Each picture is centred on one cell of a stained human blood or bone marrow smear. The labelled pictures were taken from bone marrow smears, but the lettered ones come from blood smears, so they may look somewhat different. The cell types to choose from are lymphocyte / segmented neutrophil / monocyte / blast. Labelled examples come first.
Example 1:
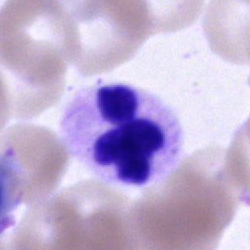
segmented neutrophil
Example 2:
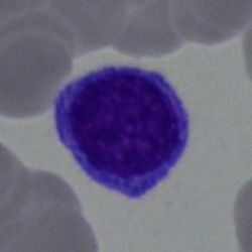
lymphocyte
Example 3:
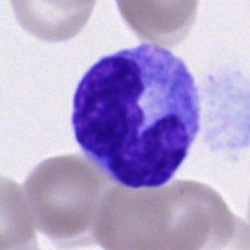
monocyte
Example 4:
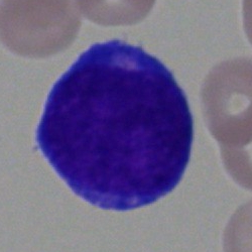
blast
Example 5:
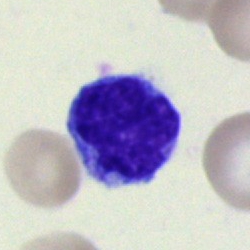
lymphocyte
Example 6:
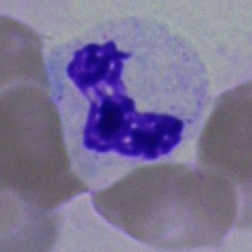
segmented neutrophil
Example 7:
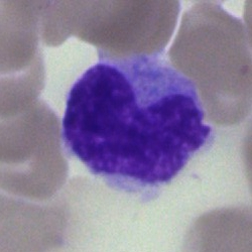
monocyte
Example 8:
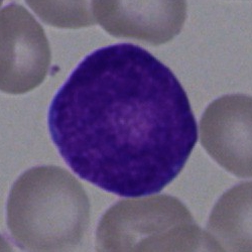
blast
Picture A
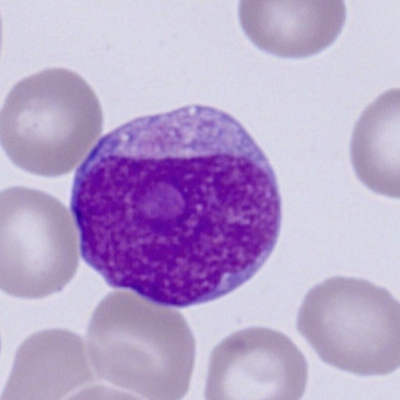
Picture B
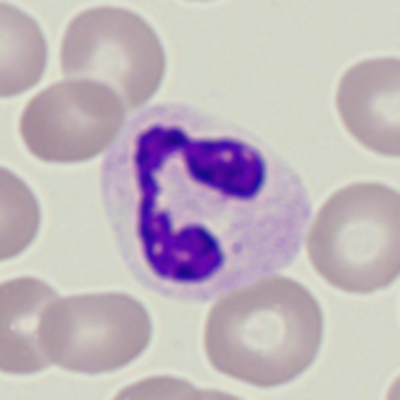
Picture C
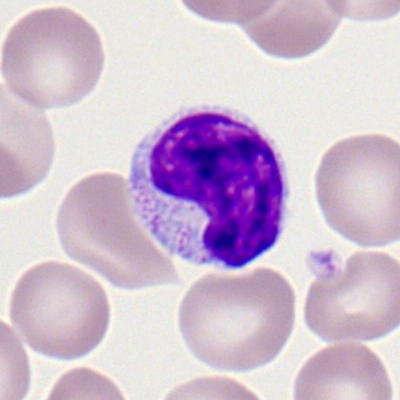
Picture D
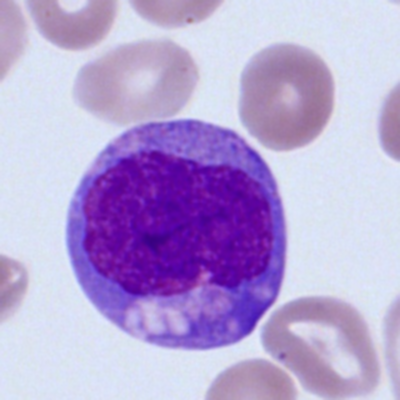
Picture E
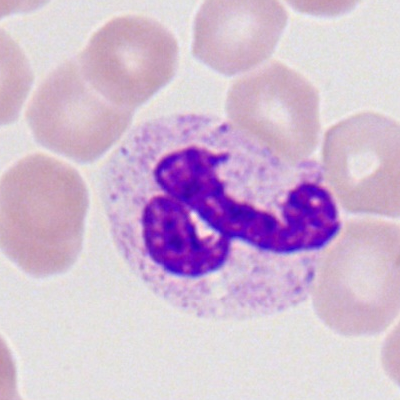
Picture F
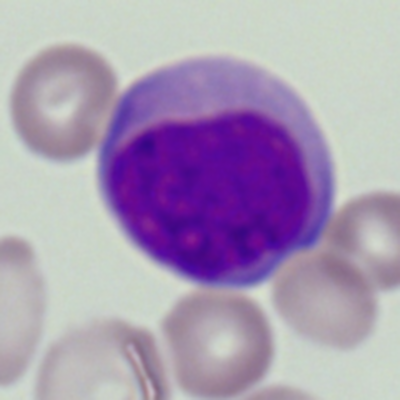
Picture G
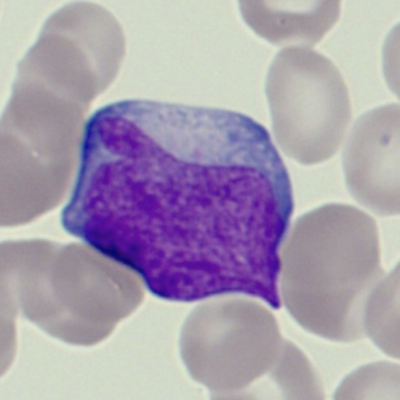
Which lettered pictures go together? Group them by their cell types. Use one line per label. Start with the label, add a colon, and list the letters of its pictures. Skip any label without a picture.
lymphocyte: C
segmented neutrophil: B, E
blast: A, D, F, G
